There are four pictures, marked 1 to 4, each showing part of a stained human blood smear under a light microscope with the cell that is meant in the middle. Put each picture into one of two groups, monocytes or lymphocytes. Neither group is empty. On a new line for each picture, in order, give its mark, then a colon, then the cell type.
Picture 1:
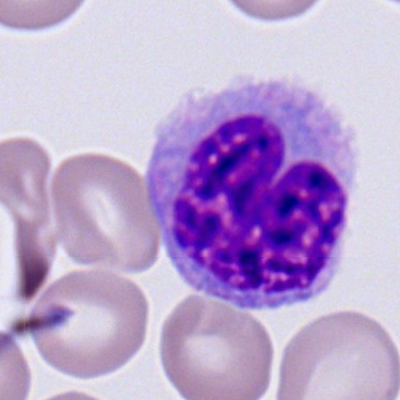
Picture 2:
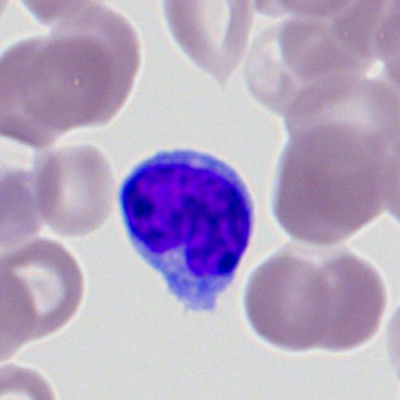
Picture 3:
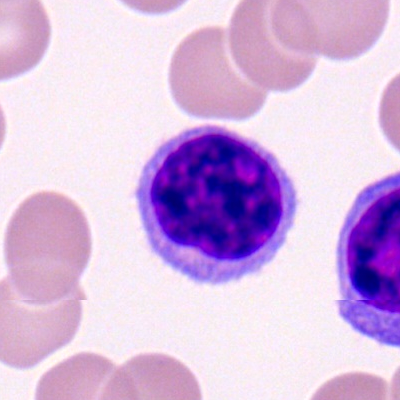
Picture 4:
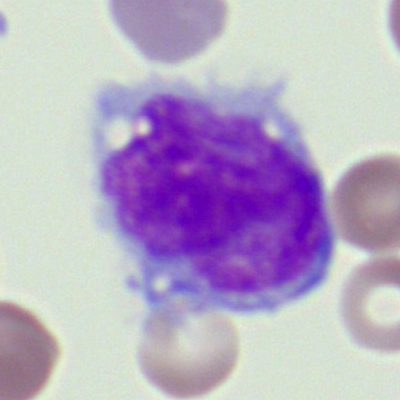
1: monocyte
2: lymphocyte
3: lymphocyte
4: monocyte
